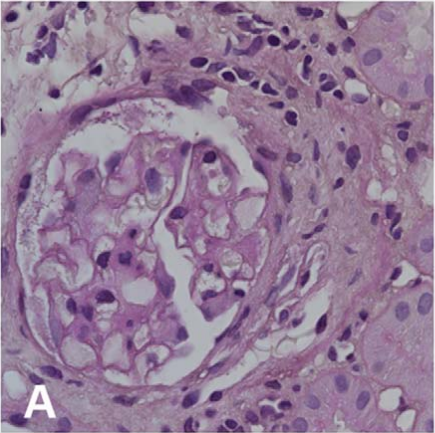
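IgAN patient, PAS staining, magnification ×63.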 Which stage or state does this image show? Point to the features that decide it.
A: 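Bowman's capsule is thickened and surrounded by pink fibrous tissue. So: sclerotic glomeruli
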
